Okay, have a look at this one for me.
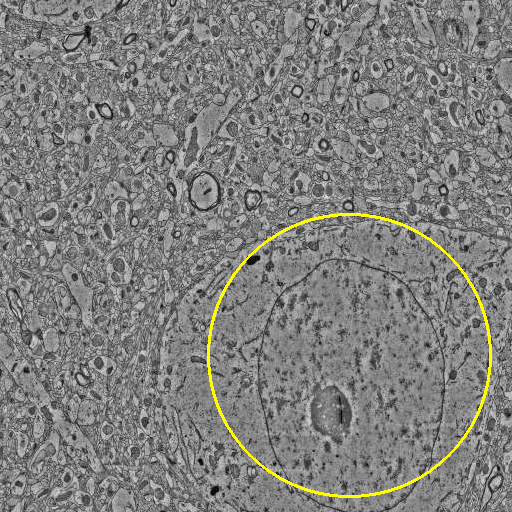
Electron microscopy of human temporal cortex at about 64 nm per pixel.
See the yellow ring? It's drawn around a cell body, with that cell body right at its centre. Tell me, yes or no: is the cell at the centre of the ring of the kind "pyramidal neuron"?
Yes, it is of that kind.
